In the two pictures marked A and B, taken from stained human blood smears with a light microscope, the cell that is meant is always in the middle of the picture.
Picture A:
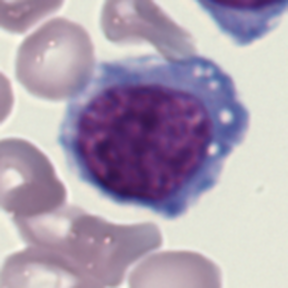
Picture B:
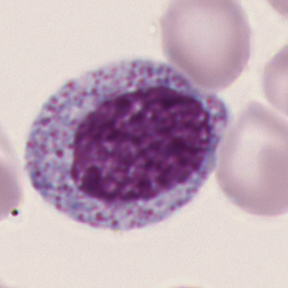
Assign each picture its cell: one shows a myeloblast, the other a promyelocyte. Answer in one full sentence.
The cell in picture A is a myeloblast, and the one in picture B is a promyelocyte.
